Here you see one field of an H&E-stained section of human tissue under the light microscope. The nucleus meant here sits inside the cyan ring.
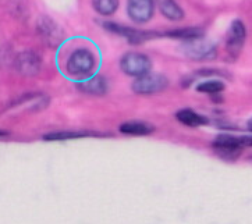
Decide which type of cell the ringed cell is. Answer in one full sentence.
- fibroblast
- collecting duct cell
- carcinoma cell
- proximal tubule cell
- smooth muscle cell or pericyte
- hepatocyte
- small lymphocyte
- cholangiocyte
As far as its identity is concerned, the ringed cell is a cholangiocyte.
